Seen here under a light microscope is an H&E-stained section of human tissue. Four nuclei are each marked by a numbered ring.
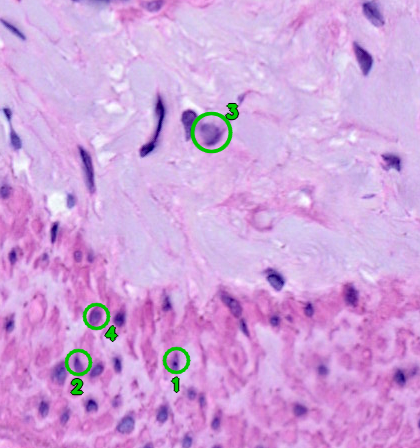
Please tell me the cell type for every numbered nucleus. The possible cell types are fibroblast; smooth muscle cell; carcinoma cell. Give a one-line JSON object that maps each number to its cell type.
{"1": "smooth muscle cell", "2": "smooth muscle cell", "3": "fibroblast", "4": "smooth muscle cell"}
